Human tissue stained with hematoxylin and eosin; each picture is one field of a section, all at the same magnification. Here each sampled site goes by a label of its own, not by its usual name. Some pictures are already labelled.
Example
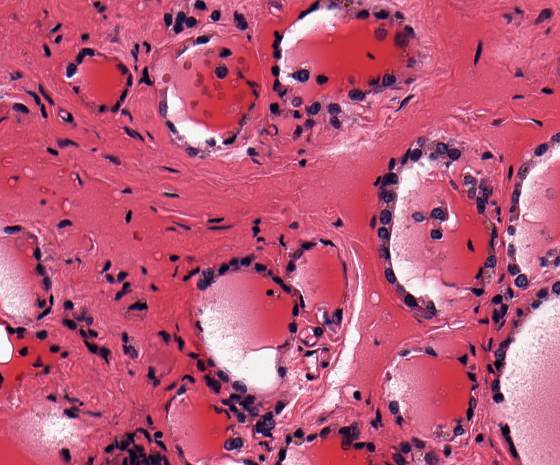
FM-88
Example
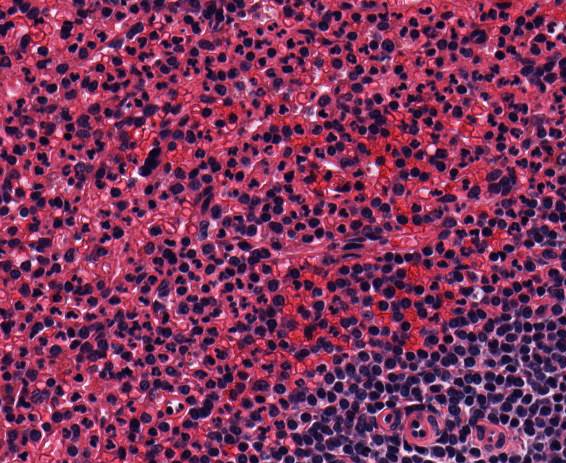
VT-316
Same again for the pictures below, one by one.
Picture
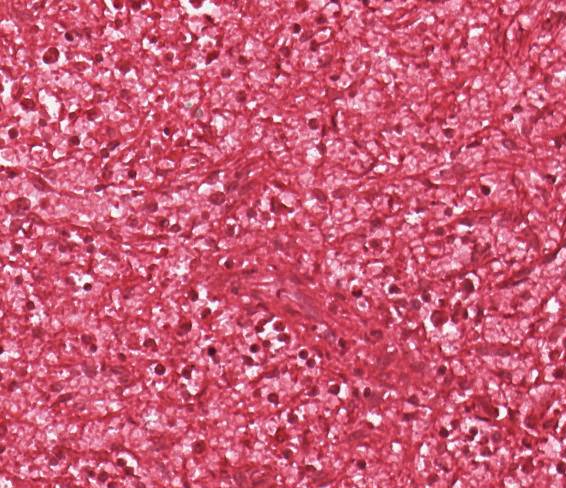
VT-316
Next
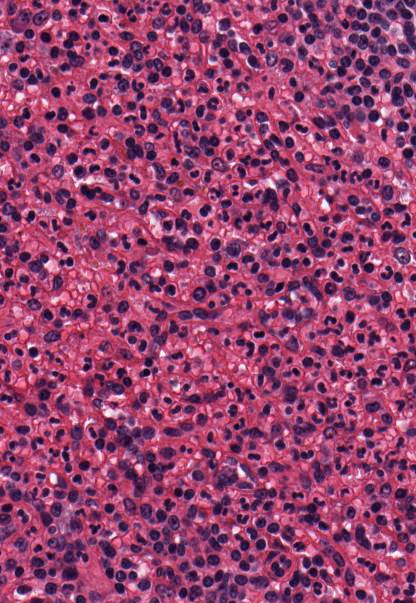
VT-316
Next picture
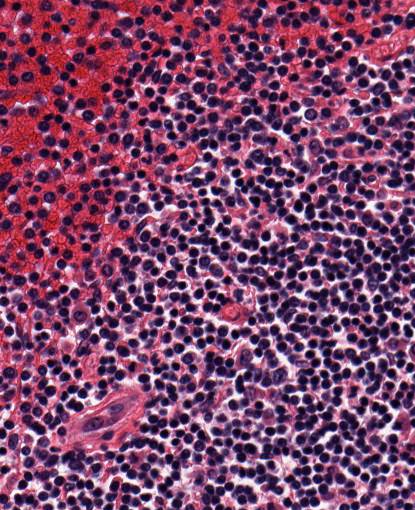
VT-316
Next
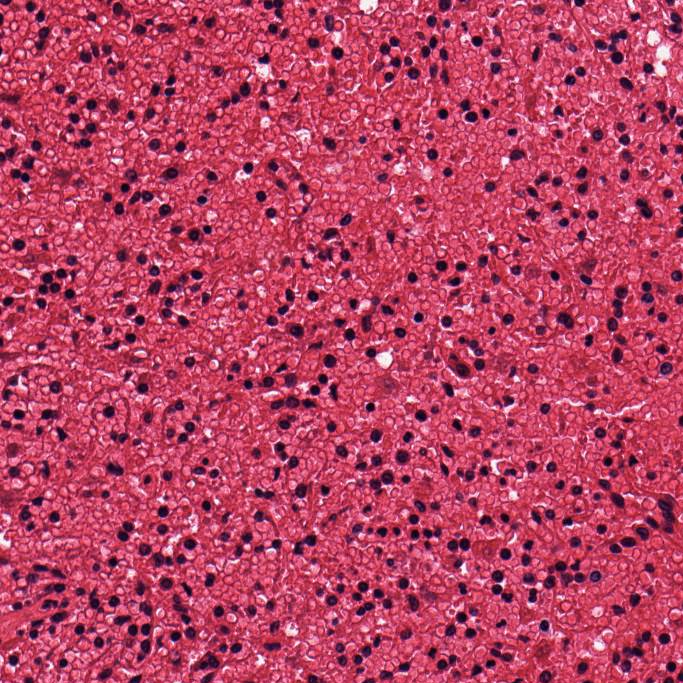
VT-316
